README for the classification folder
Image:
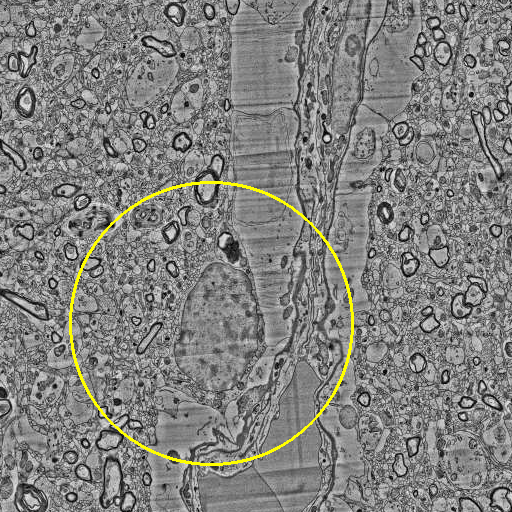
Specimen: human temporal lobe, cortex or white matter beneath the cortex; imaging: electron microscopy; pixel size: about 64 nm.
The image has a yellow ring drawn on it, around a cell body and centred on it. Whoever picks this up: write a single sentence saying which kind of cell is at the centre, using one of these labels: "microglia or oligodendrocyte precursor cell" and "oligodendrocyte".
This cell body is that of an oligodendrocyte.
